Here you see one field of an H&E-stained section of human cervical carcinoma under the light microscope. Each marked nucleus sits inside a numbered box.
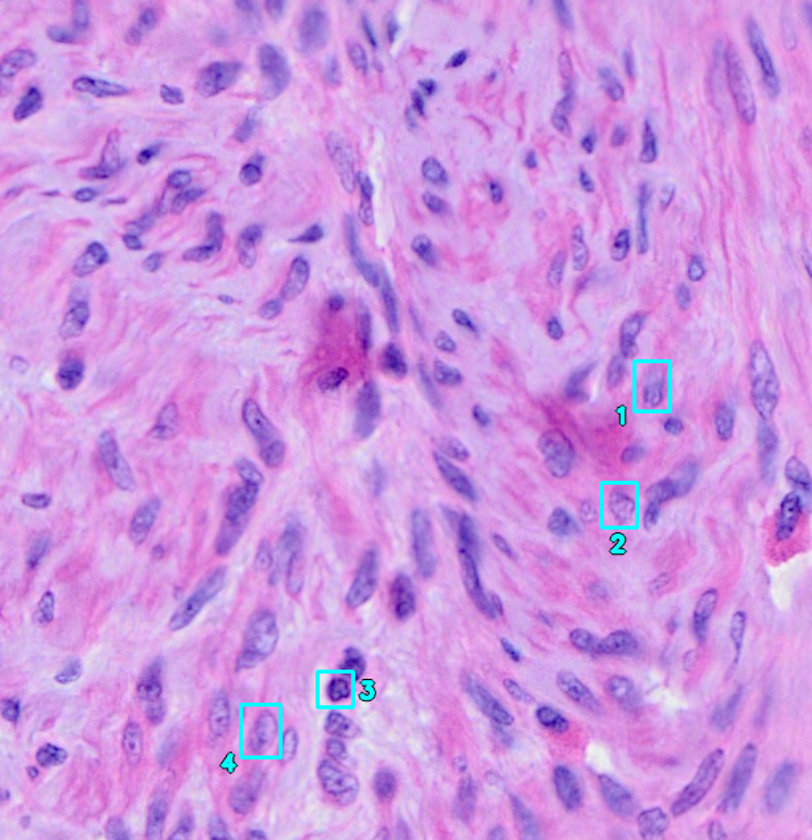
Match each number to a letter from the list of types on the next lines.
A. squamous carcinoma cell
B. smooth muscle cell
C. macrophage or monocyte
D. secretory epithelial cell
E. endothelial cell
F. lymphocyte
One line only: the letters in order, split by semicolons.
B; B; F; B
